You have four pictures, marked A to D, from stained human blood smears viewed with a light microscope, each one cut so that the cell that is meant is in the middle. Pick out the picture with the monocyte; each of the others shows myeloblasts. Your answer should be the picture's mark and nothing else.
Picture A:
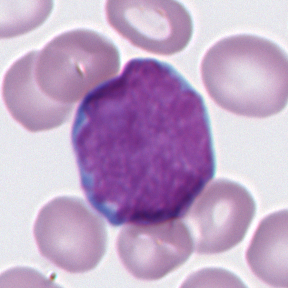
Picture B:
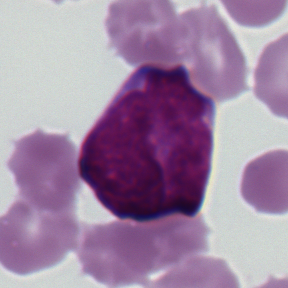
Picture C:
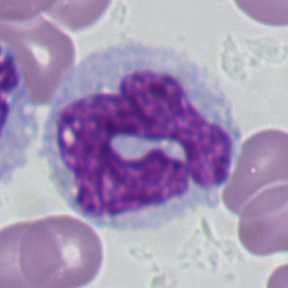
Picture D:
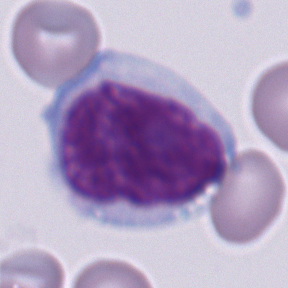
C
